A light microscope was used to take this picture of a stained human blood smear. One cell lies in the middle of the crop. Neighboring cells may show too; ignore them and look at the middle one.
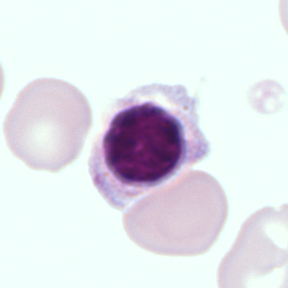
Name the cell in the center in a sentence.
What sits at the centre of this crop is an erythroblast.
